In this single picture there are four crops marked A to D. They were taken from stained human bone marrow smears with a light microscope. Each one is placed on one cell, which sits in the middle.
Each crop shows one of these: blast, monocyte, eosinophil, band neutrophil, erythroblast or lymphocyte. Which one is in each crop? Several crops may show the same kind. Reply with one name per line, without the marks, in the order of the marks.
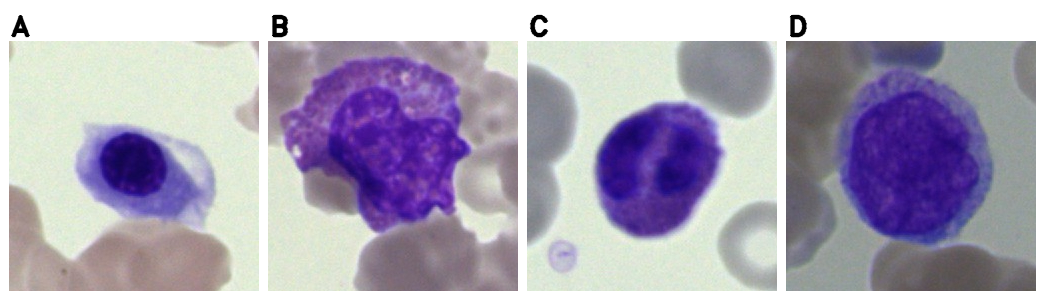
erythroblast
eosinophil
eosinophil
monocyte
